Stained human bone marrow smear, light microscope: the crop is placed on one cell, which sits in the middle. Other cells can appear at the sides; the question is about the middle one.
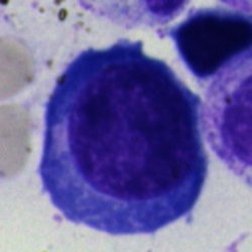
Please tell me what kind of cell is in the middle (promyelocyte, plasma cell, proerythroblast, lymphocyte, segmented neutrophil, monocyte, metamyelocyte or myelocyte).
proerythroblast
